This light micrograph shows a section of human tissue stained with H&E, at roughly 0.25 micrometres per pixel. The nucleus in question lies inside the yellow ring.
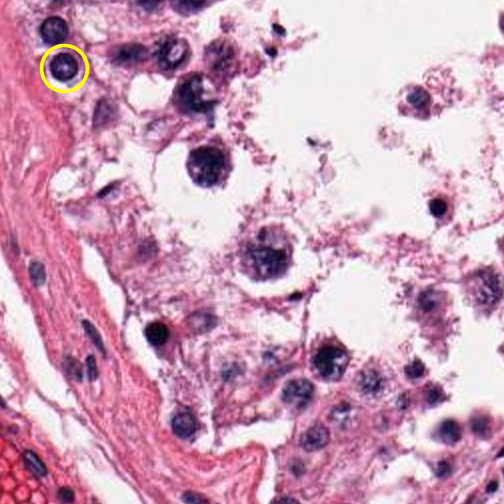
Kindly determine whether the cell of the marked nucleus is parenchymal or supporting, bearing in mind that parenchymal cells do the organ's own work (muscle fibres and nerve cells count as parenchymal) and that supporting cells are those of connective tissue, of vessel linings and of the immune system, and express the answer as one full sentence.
The nucleus marked here belongs to a parenchymal cell, namely a spermatogonium.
